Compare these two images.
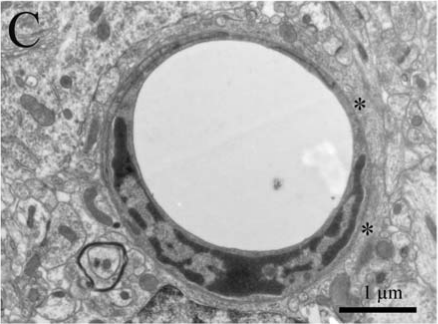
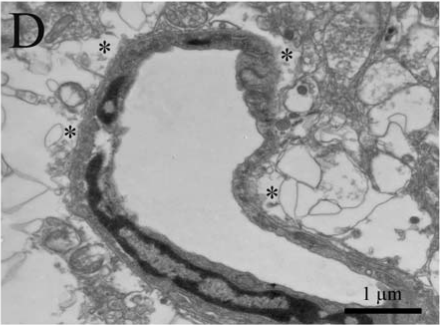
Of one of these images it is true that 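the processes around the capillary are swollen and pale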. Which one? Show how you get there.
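The second image. Second image: pale, enlarged watery spaces border the vessel wall. First image: a thin, compact band of processes tightly surrounds the vessel.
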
